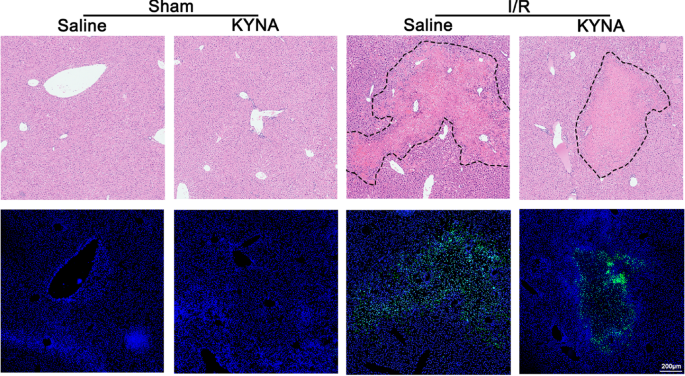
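The top row shows sections of liver parenchyma stained pink and purple, with pale vessel lumens. In the two right-hand sections, large irregular pale pink regions lose the fine cellular texture of the surrounding parenchyma and are outlined by a dashed line, marking injured areas. In the bottom row, blue nuclei fill the tissue, and in the two right-hand sections green dots cluster in matching broad patches.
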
